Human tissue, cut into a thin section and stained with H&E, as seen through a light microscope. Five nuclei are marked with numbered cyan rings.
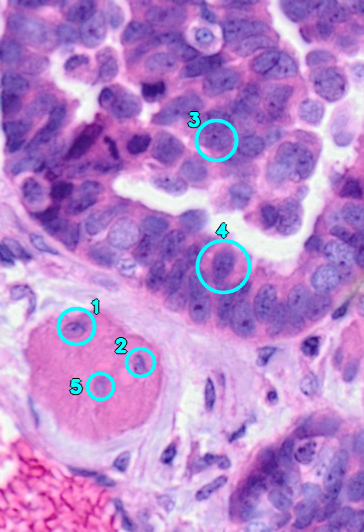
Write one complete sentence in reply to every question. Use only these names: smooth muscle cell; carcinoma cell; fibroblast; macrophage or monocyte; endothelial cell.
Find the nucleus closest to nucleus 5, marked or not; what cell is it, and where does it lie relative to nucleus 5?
The nearest nucleus is that of a smooth muscle cell and lies above and to the right of nucleus 5.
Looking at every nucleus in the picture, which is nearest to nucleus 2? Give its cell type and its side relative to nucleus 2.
The closest nucleus belongs to a smooth muscle cell and sits below and to the left of nucleus 2.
